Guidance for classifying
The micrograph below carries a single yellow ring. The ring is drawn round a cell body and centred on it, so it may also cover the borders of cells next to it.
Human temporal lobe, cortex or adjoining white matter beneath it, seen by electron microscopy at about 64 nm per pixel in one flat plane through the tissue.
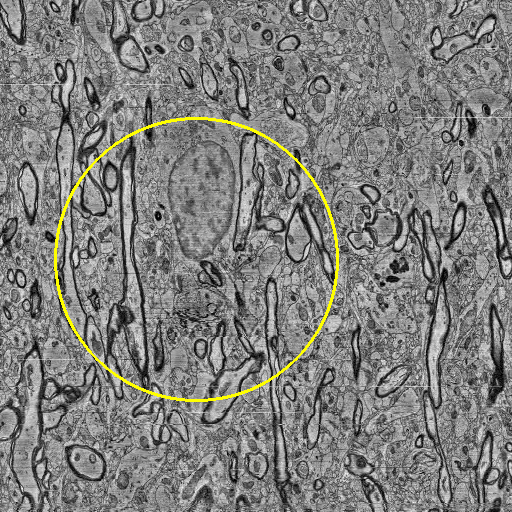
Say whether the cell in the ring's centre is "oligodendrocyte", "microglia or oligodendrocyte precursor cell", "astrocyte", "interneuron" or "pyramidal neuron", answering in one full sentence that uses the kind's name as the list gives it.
Within the yellow ring, an oligodendrocyte is the cell whose body sits at the centre.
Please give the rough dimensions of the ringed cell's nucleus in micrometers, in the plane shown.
The nucleus comes to approximately 8 by 4 micrometres and is clearly longer than it is wide in this plane.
